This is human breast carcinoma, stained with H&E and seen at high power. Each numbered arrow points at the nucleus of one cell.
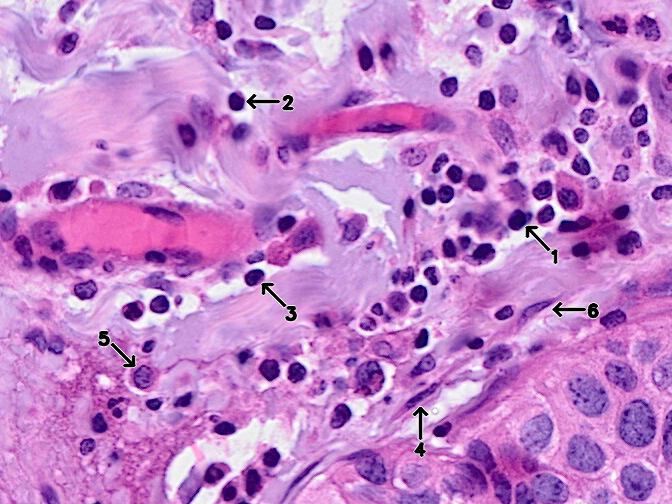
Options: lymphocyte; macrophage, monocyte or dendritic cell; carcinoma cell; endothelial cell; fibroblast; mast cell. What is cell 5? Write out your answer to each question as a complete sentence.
The cell carrying label 5 is identified as a mast cell.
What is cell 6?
Marked with the number 6, this cell is a fibroblast.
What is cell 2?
The correct answer for cell 2 is a lymphocyte.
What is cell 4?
Nucleus 4 in this section belongs to a fibroblast.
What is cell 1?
Number 1 among the marked cells is a lymphocyte.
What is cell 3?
In the tissue shown, cell 3 is a lymphocyte.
